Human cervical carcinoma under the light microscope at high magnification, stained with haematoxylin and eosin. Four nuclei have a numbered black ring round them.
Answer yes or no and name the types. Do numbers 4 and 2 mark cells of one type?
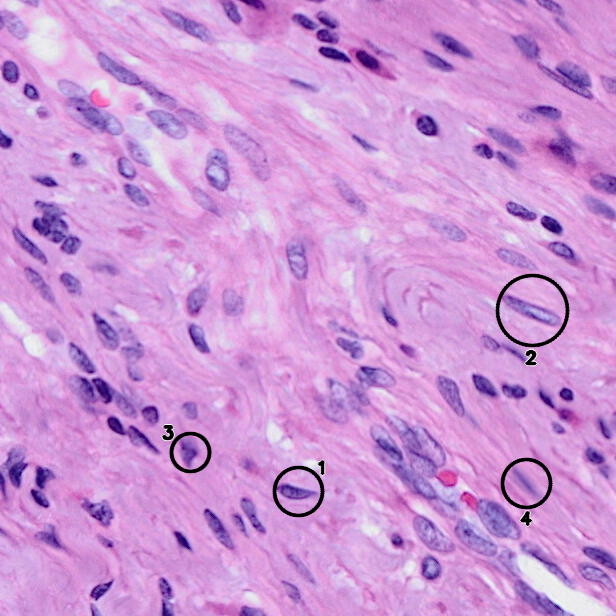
Yes, the cell marked 4 and the cell marked 2 are both smooth muscle cells.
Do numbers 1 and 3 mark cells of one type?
Yes, within the numbered set, cells 1 and 3 are both fibroblasts.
